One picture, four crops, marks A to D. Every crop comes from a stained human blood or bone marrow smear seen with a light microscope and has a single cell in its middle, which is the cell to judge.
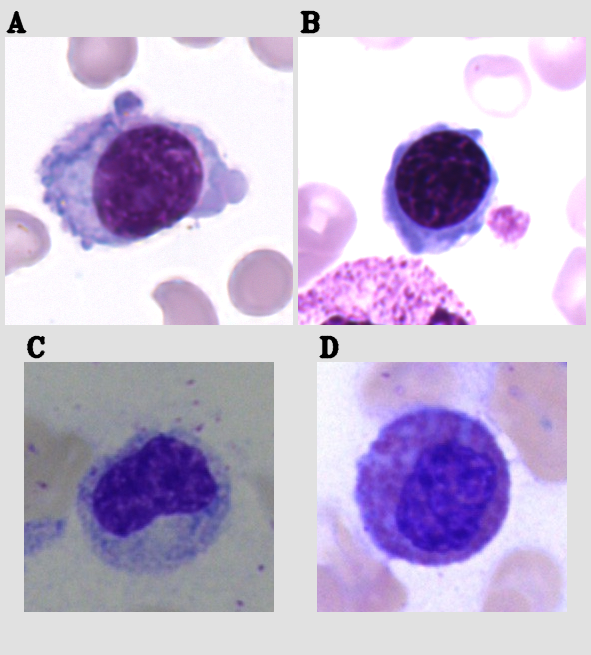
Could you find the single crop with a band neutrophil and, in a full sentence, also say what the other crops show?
The central cell of crop C is identified as a band neutrophil, while crop A is a plasma cell, crop B is an erythroblast and crop D is an eosinophil.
